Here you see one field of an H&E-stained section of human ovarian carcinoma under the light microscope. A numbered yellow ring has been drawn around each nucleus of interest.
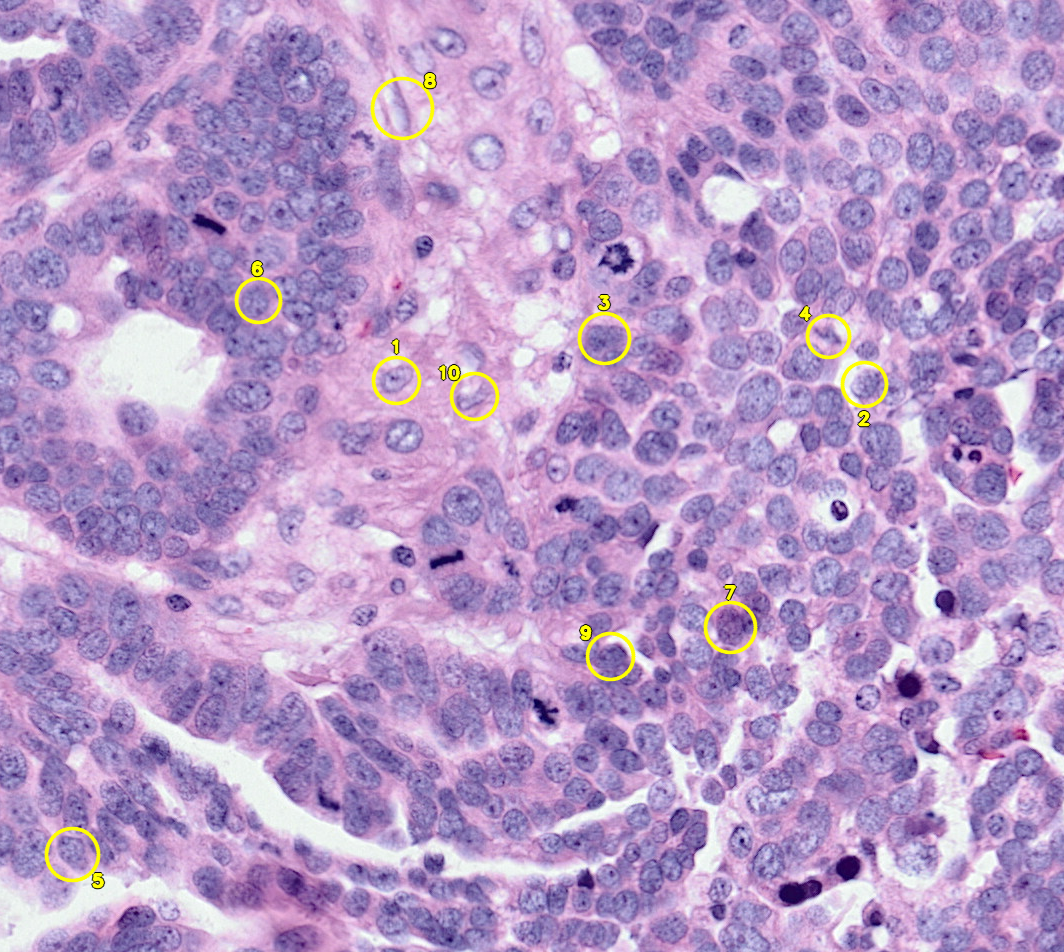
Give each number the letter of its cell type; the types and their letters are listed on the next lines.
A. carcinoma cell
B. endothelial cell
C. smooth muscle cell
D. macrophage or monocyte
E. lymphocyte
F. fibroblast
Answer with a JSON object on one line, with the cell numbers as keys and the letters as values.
{"1": "F", "2": "A", "3": "A", "4": "D", "5": "A", "6": "A", "7": "A", "8": "F", "9": "A", "10": "F"}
